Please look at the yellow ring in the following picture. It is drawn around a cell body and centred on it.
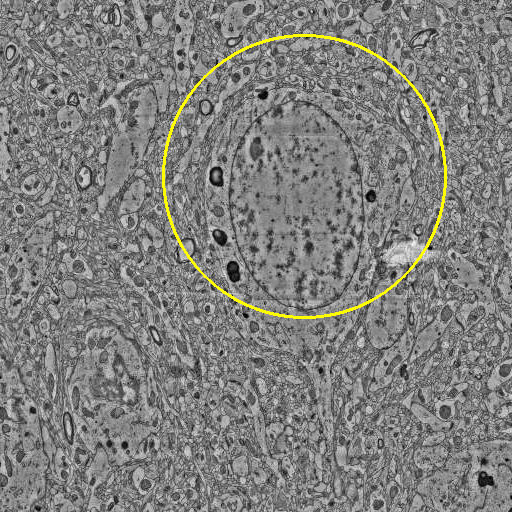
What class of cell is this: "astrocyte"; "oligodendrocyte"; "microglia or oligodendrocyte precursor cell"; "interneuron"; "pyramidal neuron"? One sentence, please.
The ring surrounds the cell body of a pyramidal neuron.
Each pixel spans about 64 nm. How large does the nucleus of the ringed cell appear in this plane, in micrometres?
About 14 by 9 micrometres, the nucleus being clearly longer than it is wide in this plane.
